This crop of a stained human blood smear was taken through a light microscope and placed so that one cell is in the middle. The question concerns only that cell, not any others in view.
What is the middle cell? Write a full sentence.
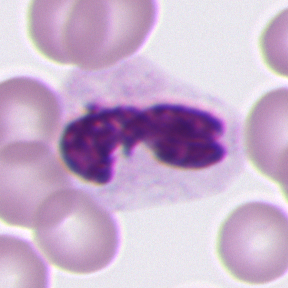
At the center of the crop sits a segmented neutrophil.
